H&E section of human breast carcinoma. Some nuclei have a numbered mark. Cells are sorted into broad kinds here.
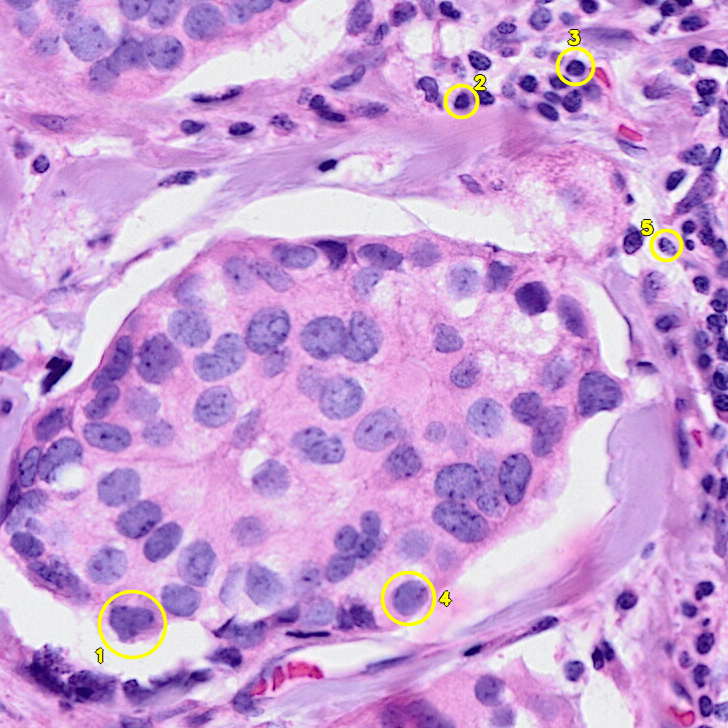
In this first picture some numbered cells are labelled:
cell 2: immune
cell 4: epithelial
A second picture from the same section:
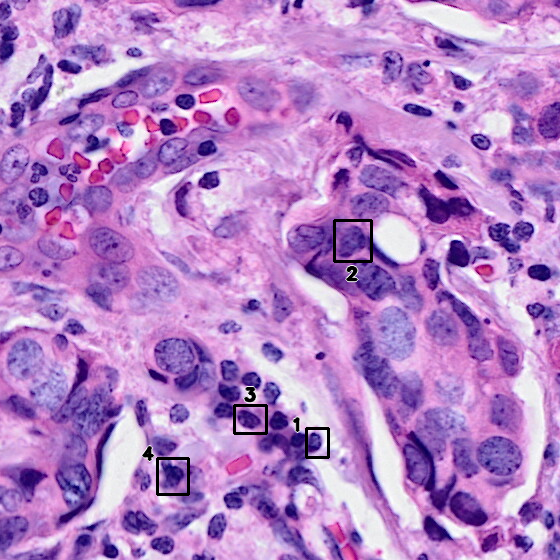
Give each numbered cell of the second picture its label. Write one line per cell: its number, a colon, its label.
1: immune
2: epithelial
3: immune
4: immune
